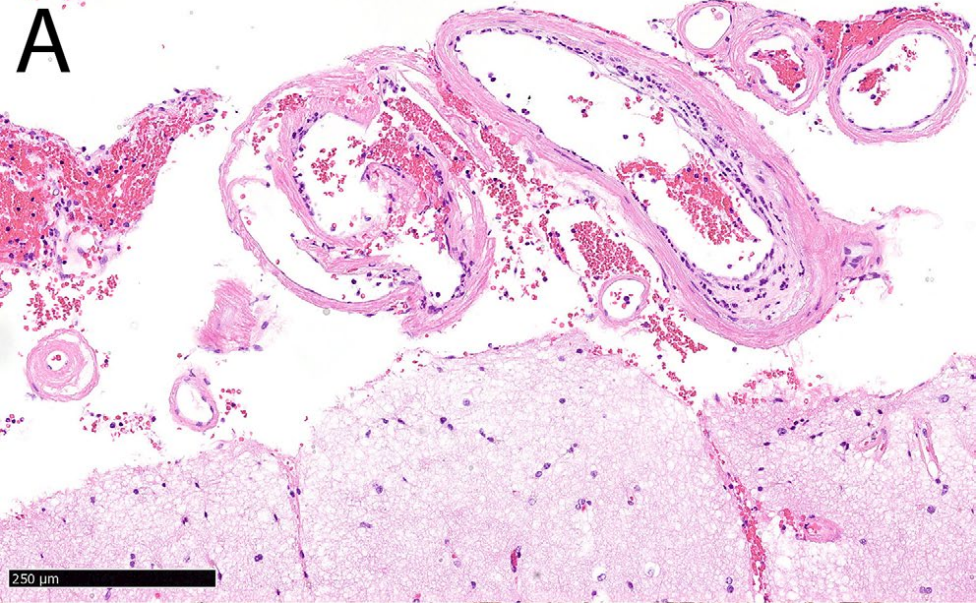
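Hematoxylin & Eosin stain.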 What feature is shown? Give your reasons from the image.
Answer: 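Several thick-walled vessels lie in a loose space above the brain surface. The underlying pale, finely vacuolated tissue is cortex with scattered nuclei. On this evidence: leptomeningeal arteries.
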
